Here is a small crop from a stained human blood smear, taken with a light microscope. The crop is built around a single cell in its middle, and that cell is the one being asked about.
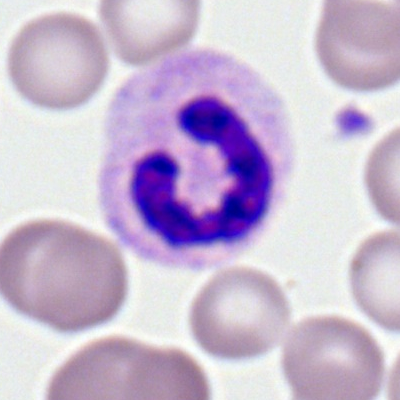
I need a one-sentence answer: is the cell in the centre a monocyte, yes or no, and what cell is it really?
No, the cell under consideration is a band neutrophil instead of a monocyte.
